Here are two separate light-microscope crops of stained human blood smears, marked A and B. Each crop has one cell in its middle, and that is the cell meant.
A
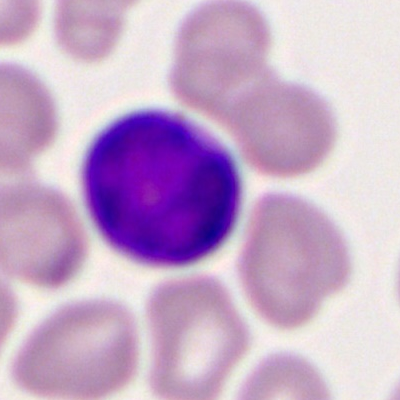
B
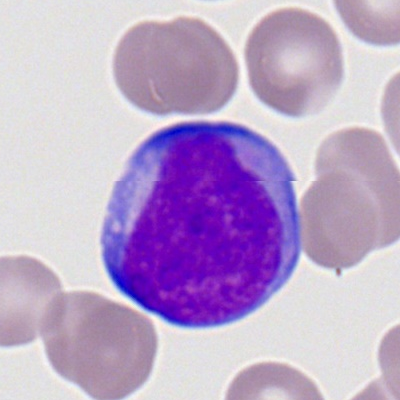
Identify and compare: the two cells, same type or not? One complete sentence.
Yes, the cells in both crops are myeloblasts.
